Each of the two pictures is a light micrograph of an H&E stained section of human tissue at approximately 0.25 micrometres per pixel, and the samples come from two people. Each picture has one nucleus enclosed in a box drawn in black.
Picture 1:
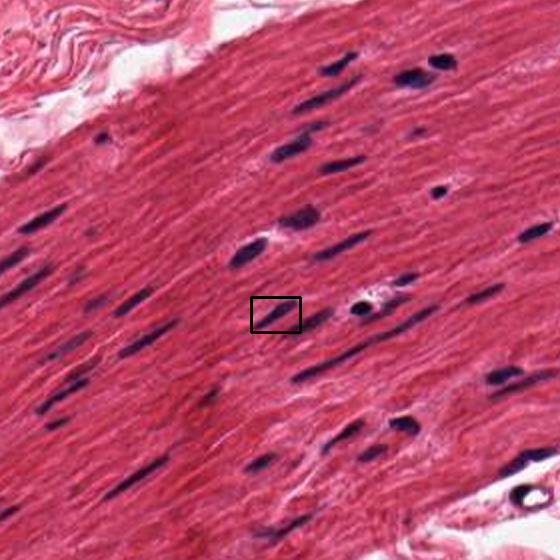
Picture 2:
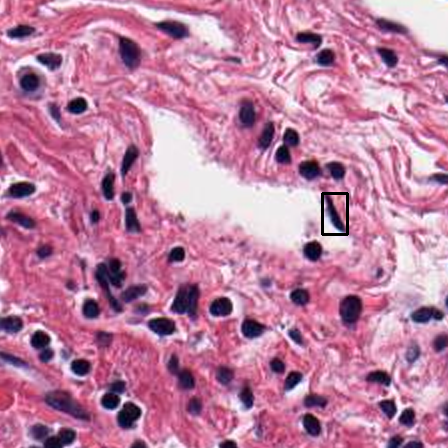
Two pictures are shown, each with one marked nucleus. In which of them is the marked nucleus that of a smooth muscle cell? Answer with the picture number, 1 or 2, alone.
1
